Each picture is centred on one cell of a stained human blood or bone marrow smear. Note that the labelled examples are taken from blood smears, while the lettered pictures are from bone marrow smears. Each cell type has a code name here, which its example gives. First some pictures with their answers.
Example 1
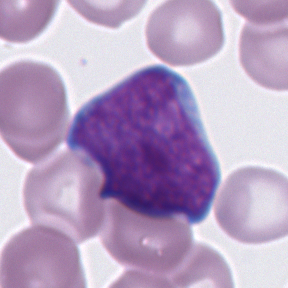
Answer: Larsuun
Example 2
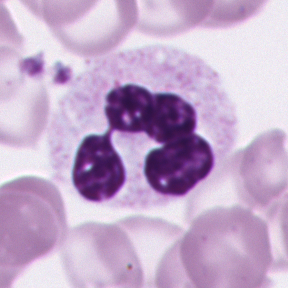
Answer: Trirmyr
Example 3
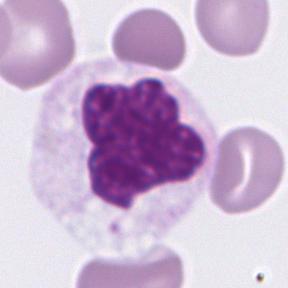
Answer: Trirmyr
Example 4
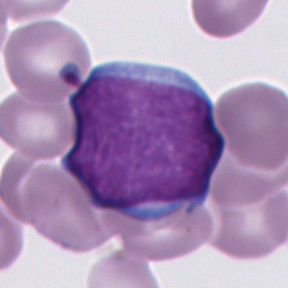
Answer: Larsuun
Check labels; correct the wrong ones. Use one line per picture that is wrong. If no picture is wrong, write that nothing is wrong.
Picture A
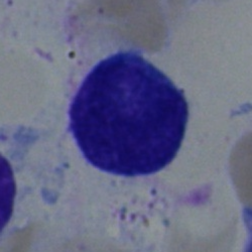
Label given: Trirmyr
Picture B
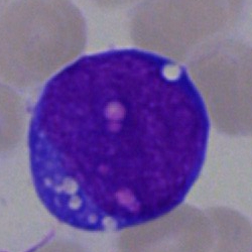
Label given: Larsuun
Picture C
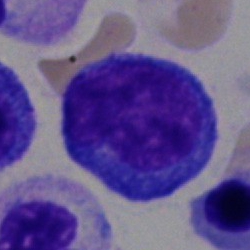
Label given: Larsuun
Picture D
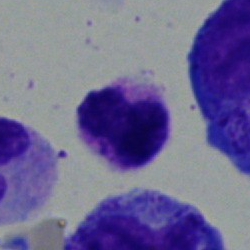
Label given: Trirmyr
A is labelled Trirmyr; correct label: Larsuun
